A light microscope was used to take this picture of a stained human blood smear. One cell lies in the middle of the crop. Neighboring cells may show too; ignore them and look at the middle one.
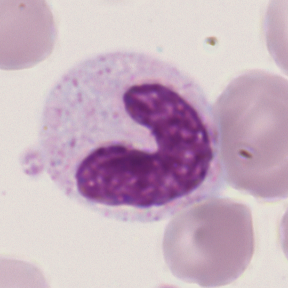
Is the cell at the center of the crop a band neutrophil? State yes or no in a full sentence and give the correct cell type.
Yes, the cell positioned at the centre of the crop is a band neutrophil.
